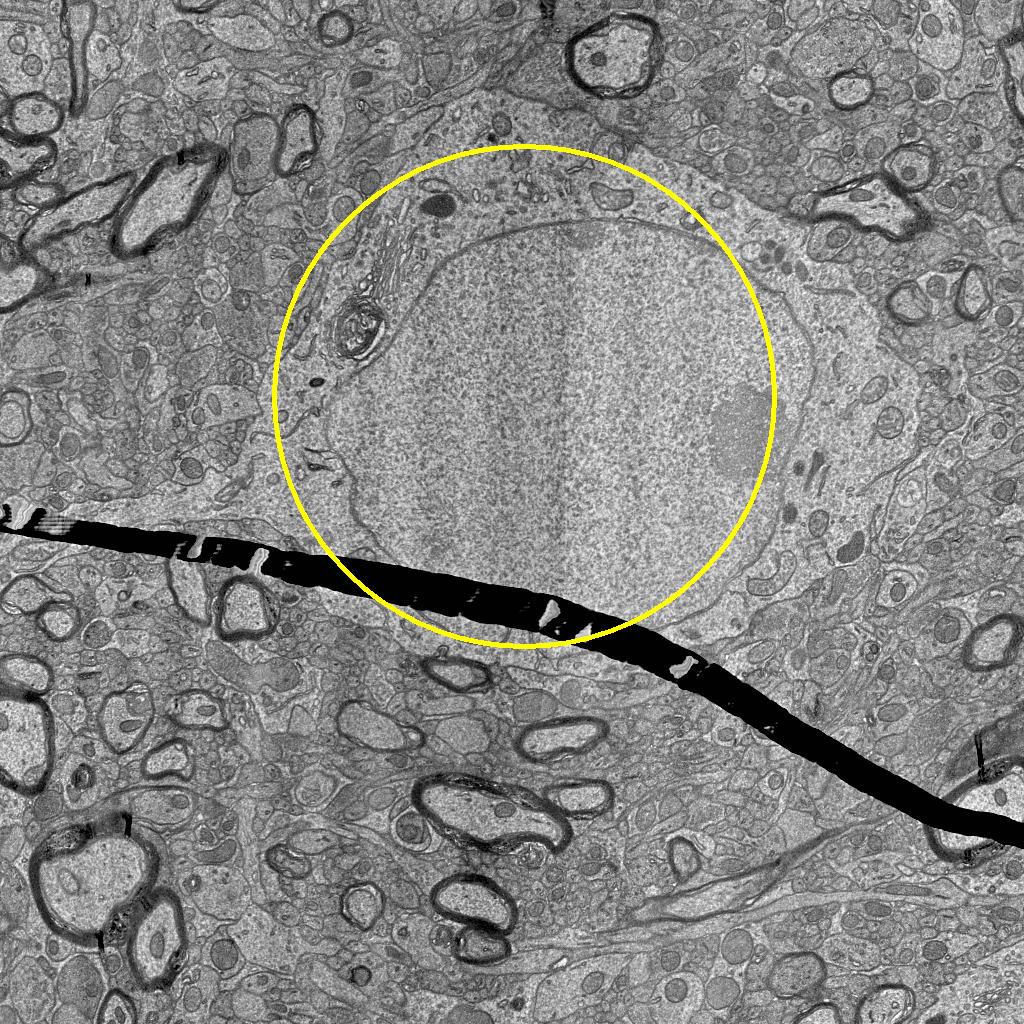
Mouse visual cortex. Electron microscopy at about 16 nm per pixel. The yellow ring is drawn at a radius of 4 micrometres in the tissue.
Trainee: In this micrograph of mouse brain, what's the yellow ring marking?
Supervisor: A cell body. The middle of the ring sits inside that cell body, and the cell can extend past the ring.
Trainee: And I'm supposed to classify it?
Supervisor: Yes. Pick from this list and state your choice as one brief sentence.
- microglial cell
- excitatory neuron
The cell at the ring's center is an excitatory neuron.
